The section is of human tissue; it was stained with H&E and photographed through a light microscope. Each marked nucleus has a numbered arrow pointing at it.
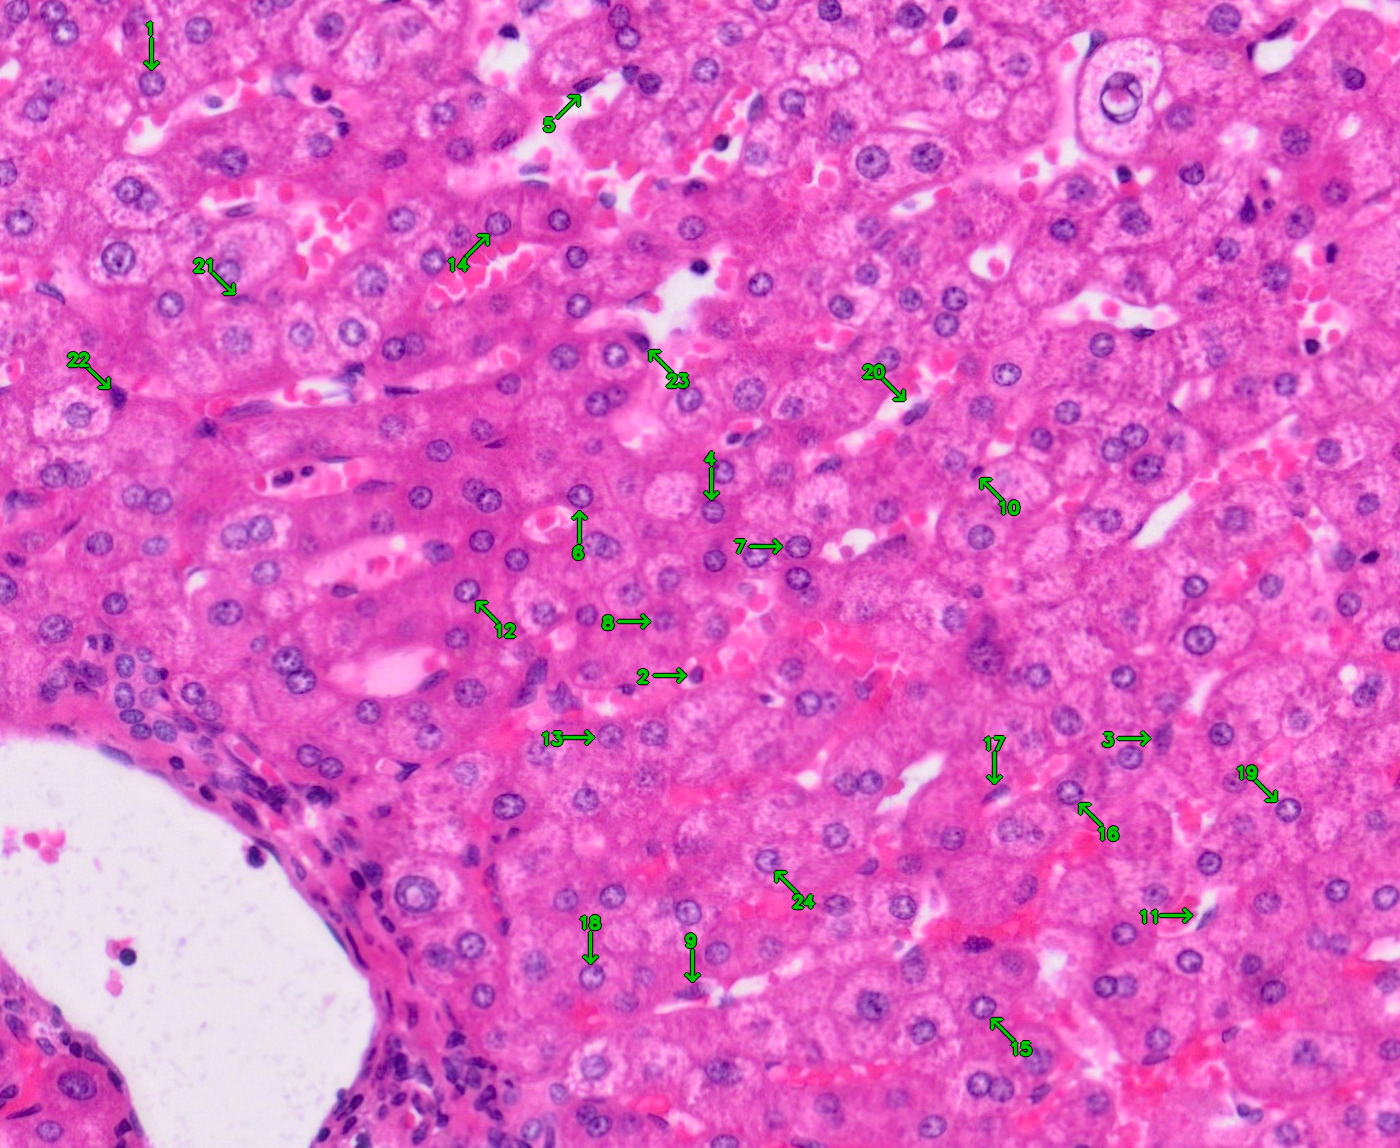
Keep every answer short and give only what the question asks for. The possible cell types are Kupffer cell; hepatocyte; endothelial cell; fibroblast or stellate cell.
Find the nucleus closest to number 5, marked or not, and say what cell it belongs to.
fibroblast or stellate cell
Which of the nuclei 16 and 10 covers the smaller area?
10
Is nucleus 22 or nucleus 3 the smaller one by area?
22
